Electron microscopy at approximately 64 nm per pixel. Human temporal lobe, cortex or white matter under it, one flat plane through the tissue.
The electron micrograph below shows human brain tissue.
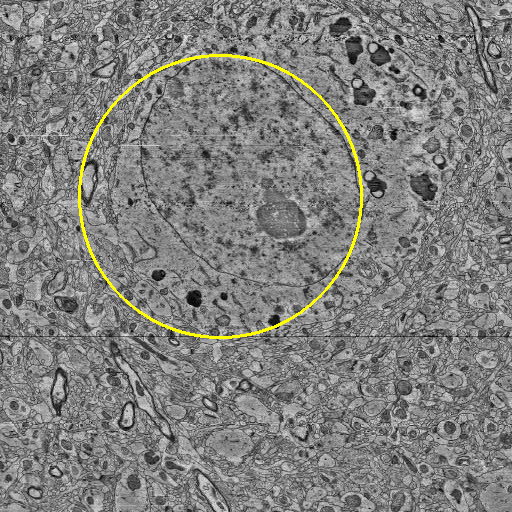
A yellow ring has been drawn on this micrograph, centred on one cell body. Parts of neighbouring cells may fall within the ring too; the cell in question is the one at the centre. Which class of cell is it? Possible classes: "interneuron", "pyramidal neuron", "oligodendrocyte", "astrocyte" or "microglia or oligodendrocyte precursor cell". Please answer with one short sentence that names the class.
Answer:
In the centre of the ring sits a pyramidal neuron.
